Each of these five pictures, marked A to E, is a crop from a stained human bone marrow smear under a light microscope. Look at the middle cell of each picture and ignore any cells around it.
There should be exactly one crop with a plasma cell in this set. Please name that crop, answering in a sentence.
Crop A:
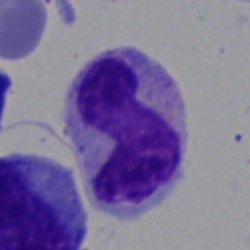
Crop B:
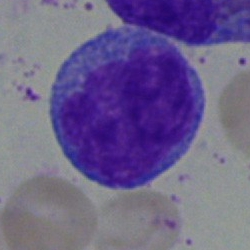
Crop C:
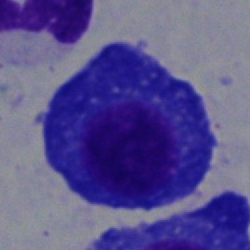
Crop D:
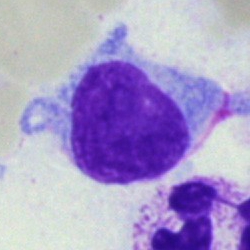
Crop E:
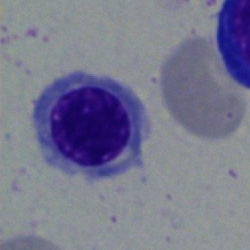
The requested cell, a plasma cell, is the one in crop C.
